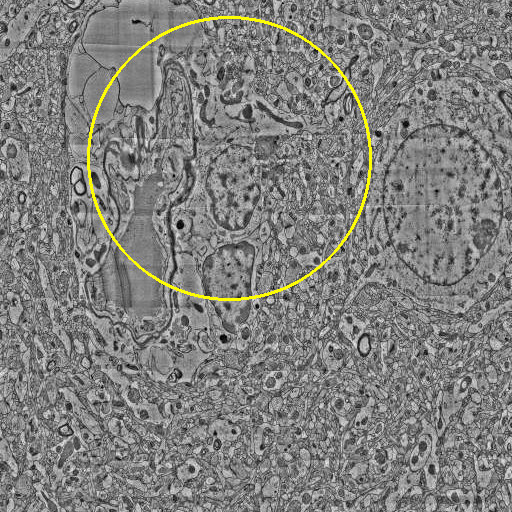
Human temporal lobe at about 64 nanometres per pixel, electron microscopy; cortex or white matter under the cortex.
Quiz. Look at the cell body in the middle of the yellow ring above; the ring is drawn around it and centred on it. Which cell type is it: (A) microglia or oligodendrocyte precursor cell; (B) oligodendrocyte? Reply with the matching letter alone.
A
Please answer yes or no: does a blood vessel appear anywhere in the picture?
Yes, a blood vessel shows in the picture.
